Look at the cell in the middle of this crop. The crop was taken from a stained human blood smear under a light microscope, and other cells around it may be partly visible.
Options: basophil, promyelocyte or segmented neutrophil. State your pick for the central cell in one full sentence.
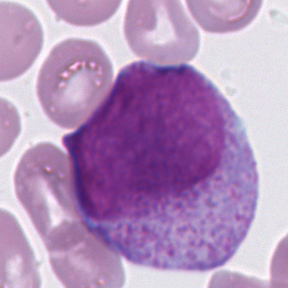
Framed in the middle of the crop is a promyelocyte.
